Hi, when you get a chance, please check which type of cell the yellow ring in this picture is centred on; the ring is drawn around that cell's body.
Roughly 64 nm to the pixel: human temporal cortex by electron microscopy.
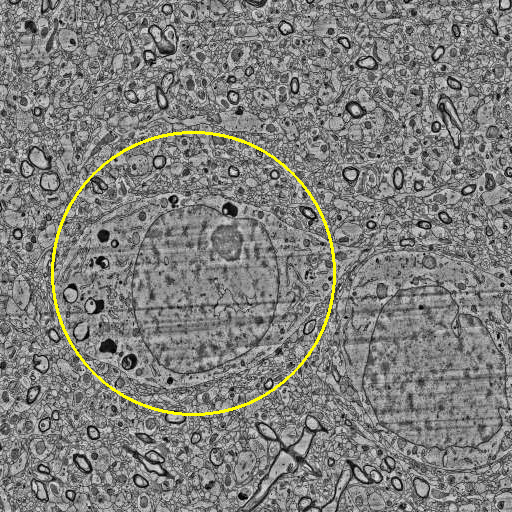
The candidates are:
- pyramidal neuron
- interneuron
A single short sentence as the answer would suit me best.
The ring is drawn around the body of an interneuron.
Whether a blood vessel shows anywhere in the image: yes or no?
No, there is no blood vessel in the image.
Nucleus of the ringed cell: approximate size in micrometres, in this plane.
In this plane, about 11 micrometres in length and 9 in width.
